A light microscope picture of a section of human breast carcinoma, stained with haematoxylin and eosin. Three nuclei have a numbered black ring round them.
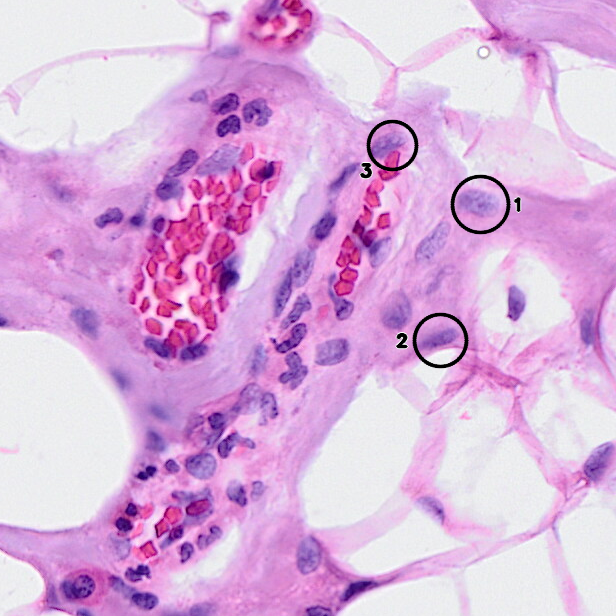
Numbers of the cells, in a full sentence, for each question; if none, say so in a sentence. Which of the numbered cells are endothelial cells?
Among the numbered nuclei, only the one labelled 3 belongs to an endothelial cell.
